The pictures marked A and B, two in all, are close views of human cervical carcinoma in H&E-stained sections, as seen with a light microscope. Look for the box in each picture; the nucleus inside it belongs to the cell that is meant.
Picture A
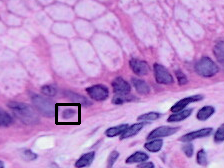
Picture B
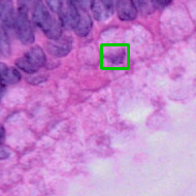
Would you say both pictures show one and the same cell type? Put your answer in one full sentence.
Yes; the cells in both pictures are secretory epithelial cells.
